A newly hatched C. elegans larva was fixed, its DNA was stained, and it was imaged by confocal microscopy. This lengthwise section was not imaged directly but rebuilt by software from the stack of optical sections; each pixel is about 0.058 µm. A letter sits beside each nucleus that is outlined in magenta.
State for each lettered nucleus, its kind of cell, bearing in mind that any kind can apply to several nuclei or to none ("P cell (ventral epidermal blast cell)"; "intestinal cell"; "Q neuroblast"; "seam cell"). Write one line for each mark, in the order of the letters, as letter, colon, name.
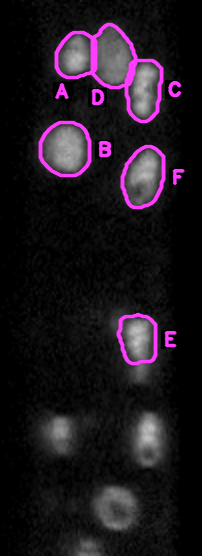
A: P cell (ventral epidermal blast cell)
B: seam cell
C: P cell (ventral epidermal blast cell)
D: intestinal cell
E: Q neuroblast
F: seam cell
